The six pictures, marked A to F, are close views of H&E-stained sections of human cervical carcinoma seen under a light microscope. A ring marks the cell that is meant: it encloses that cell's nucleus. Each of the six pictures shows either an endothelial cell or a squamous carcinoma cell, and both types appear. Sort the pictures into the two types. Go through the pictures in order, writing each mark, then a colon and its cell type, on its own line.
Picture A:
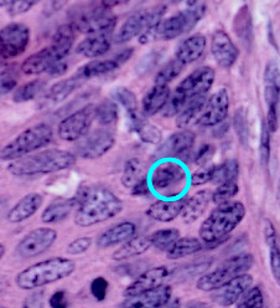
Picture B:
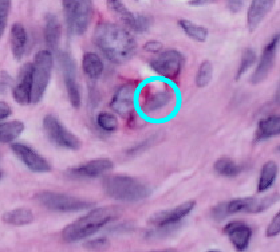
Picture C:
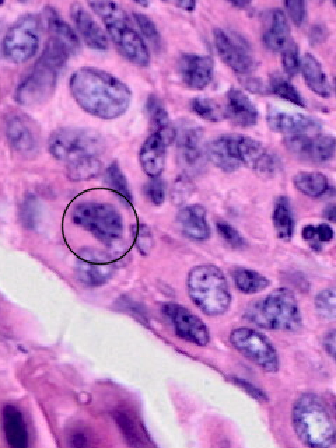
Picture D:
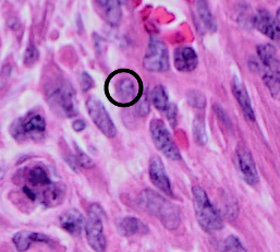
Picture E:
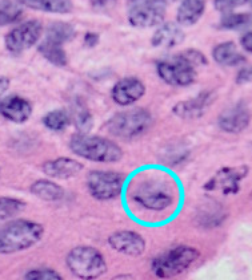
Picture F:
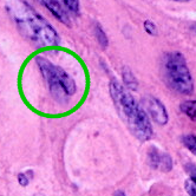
A: squamous carcinoma cell
B: endothelial cell
C: squamous carcinoma cell
D: endothelial cell
E: squamous carcinoma cell
F: squamous carcinoma cell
